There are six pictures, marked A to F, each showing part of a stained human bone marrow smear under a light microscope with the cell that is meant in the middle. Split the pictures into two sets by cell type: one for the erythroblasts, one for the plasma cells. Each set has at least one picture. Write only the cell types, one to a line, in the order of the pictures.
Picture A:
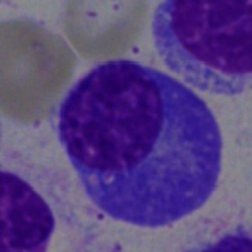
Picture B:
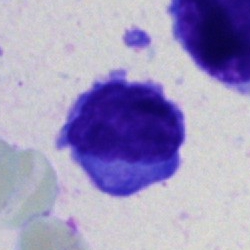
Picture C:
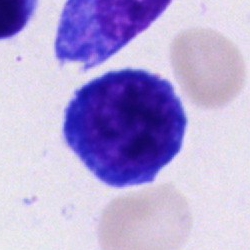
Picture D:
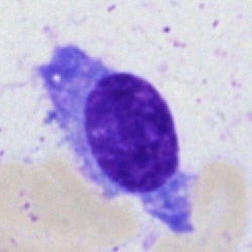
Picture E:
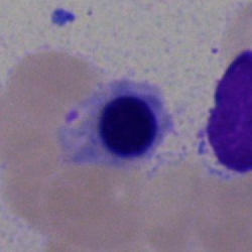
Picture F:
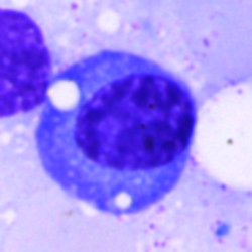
plasma cell
plasma cell
erythroblast
plasma cell
erythroblast
plasma cell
